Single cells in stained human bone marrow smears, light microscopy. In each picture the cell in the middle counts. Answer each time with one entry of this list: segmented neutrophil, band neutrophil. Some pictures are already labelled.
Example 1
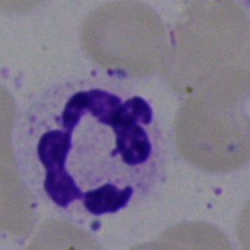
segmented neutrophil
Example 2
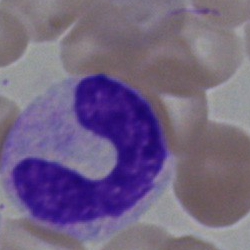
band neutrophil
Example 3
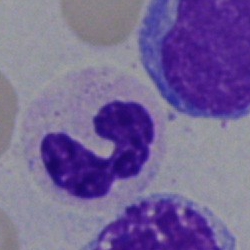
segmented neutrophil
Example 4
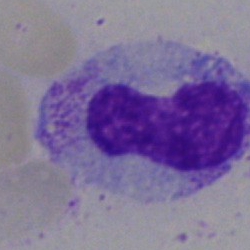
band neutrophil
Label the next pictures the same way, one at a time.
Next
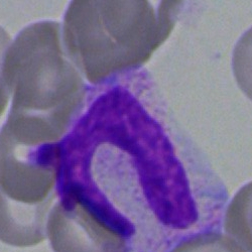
band neutrophil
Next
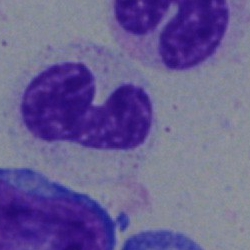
band neutrophil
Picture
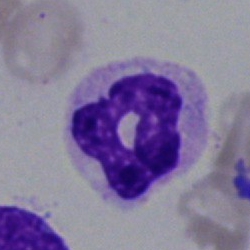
segmented neutrophil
